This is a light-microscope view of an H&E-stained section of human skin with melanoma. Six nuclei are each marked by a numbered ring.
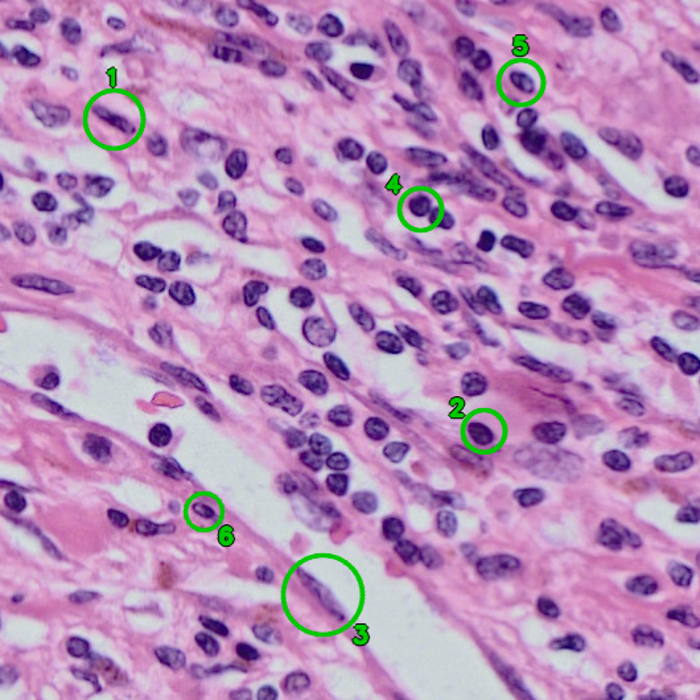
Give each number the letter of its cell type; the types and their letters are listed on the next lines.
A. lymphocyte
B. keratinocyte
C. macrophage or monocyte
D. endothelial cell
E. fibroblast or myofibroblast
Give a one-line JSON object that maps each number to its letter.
{"1": "A", "2": "A", "3": "D", "4": "A", "5": "A", "6": "C"}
